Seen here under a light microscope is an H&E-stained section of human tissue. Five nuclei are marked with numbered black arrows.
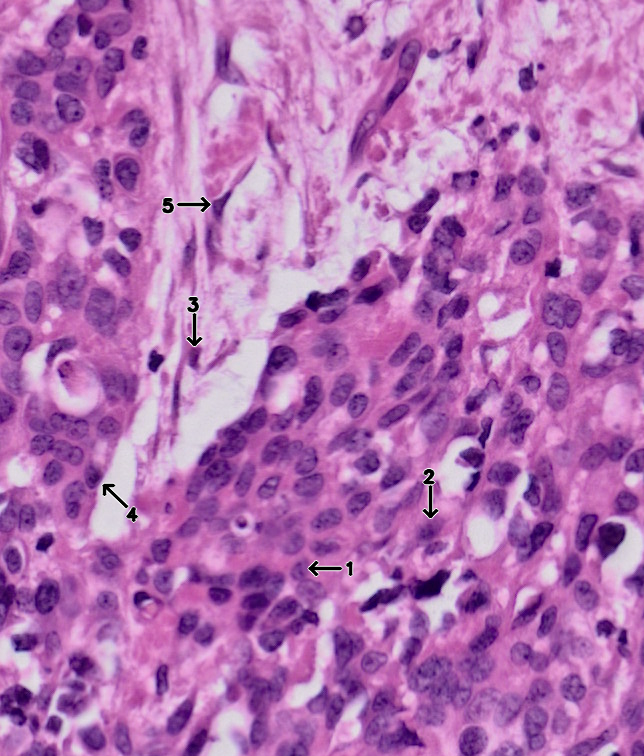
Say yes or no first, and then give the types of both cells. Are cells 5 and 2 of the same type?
No, cell 5 is a fibroblast and cell 2 is a carcinoma cell.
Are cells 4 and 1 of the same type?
Yes, both are carcinoma cells.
